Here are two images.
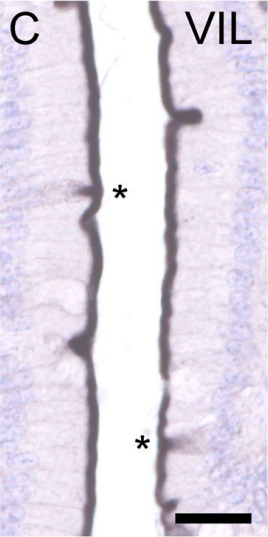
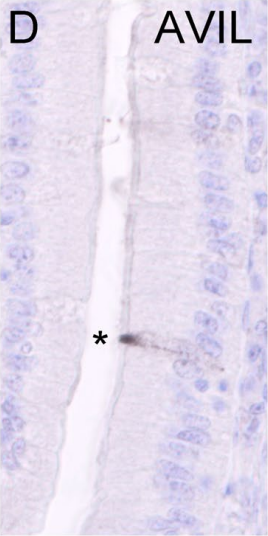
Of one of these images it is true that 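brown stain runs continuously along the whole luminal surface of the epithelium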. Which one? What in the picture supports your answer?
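Second image: only a single cell is stained brown, and the luminal surface elsewhere is unstained. The answer: the first image.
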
